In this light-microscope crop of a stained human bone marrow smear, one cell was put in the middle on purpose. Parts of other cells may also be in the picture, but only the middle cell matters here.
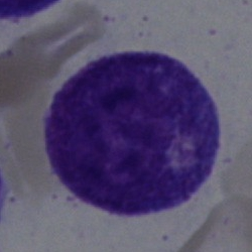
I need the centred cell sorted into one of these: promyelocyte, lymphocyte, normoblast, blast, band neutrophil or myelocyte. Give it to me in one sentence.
The target cell in the middle of the crop is a promyelocyte.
